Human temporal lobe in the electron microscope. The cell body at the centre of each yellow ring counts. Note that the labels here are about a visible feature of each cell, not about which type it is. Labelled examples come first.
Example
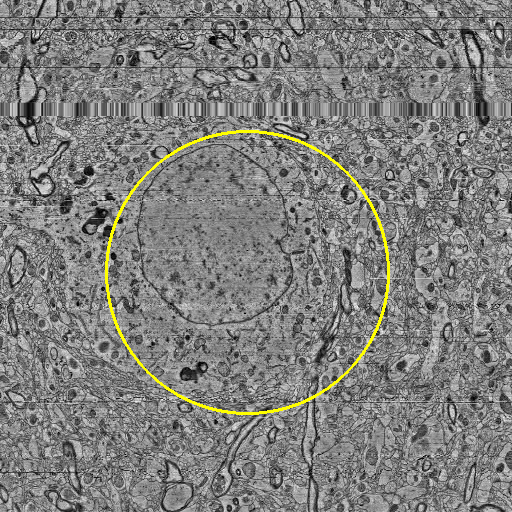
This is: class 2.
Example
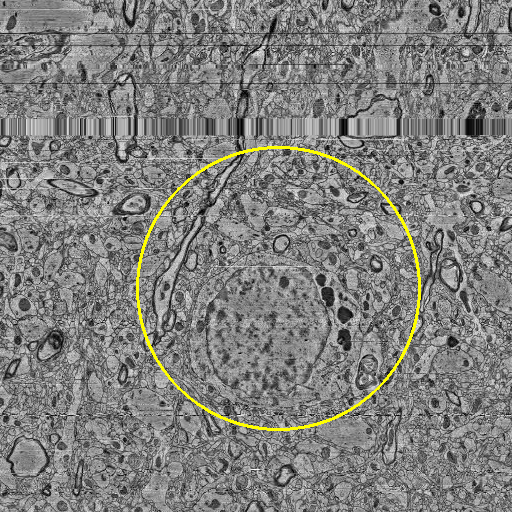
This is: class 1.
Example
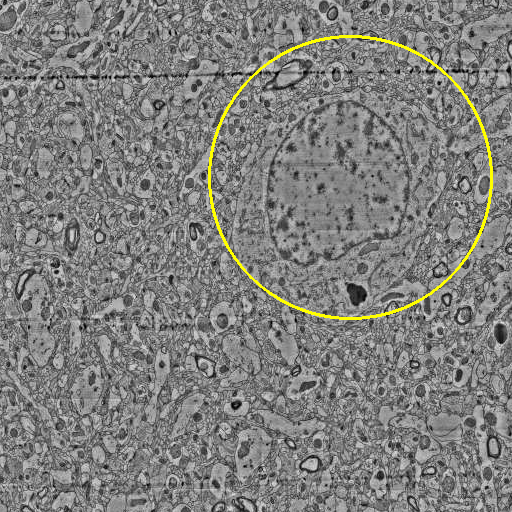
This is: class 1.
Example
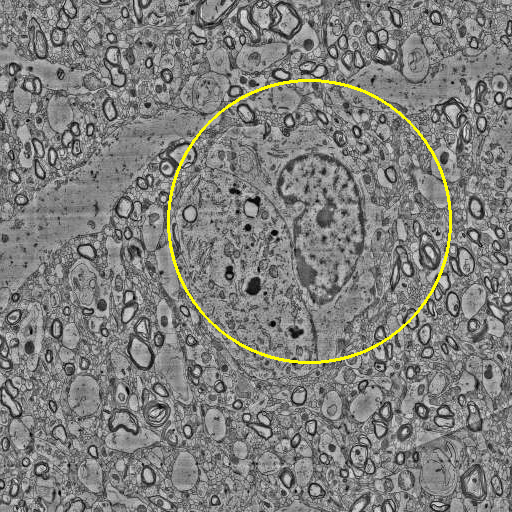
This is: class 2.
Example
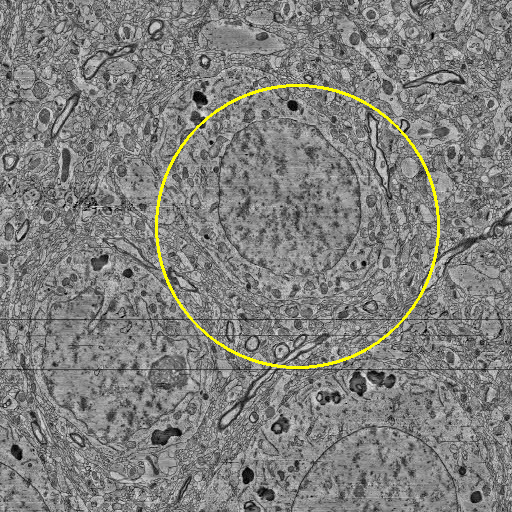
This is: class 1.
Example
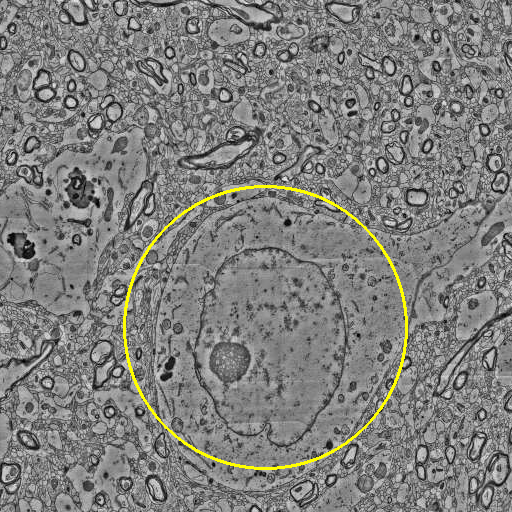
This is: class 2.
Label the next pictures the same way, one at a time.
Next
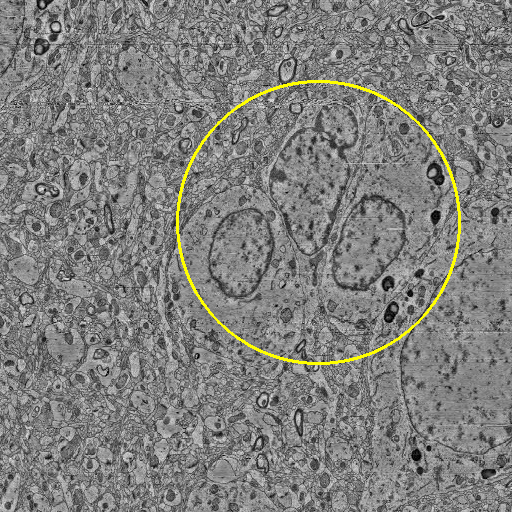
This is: class 2.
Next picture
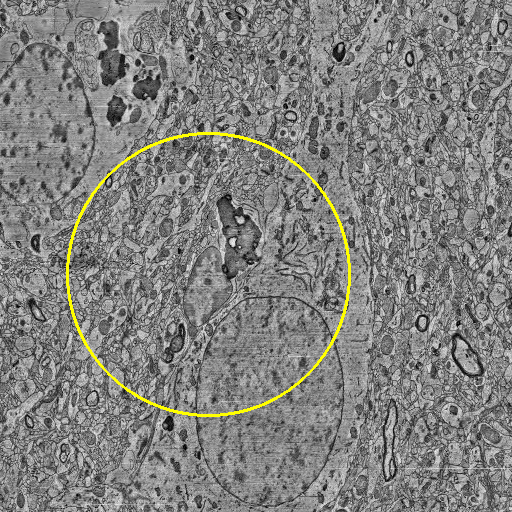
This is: class 1.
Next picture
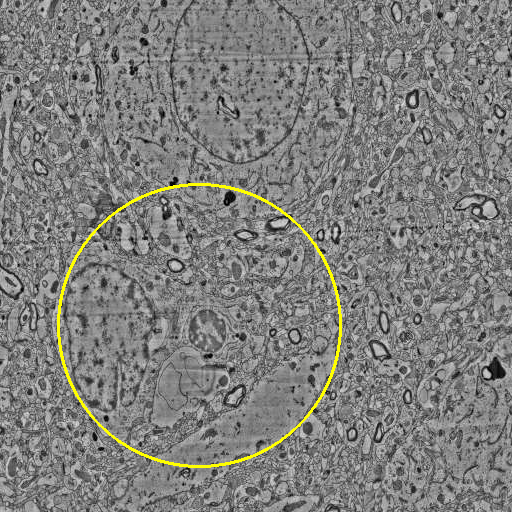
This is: class 1.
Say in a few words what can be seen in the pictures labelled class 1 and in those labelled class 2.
Seen in class 1: smooth nuclear envelopes without deep folds; seen in class 2: deeply folded or indented nuclear envelopes.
